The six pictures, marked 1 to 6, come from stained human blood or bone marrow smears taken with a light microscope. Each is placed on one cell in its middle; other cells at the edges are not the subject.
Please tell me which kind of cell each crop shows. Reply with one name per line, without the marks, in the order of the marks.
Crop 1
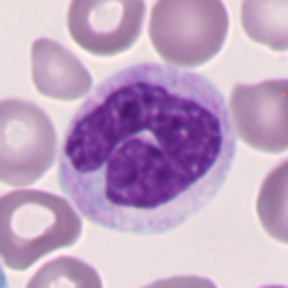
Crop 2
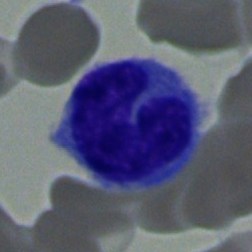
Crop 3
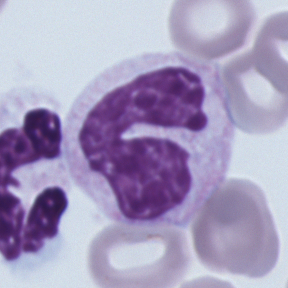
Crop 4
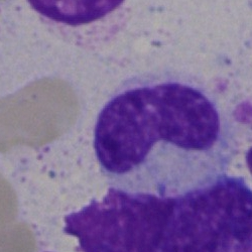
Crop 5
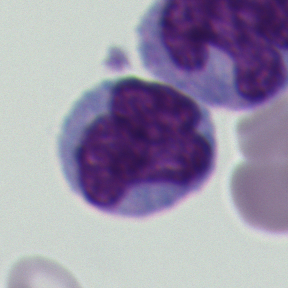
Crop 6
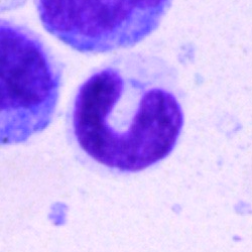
band neutrophil
monocyte
band neutrophil
band neutrophil
monocyte
band neutrophil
